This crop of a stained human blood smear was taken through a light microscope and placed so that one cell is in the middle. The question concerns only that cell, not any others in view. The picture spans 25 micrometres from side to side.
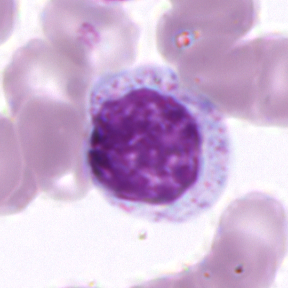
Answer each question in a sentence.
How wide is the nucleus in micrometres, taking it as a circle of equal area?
The diameter of the nucleus comes to about 10 micrometres.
